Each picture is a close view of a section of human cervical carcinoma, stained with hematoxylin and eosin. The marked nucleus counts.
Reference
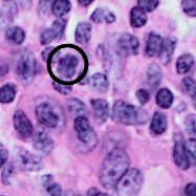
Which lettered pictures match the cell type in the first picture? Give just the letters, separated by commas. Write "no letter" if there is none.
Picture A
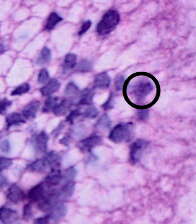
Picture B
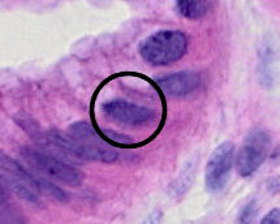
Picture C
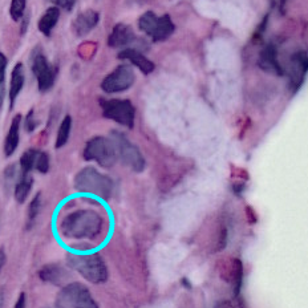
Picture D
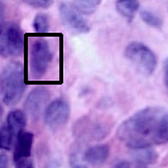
no letter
